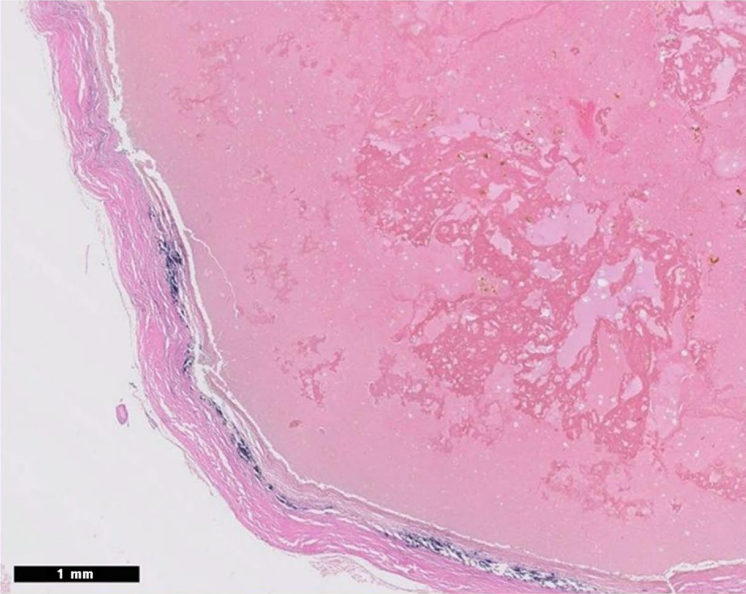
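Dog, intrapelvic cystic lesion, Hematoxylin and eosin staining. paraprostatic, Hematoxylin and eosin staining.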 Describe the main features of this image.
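The wall of a pseudocyst is seen as a thin band of layered pink fibrous connective tissue with a dark purple streak, curving around a large cavity. No epithelial cell layer lines the inner surface; the cavity is filled with pale pink amorphous material containing darker red, blood-like areas and scattered brown granules.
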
